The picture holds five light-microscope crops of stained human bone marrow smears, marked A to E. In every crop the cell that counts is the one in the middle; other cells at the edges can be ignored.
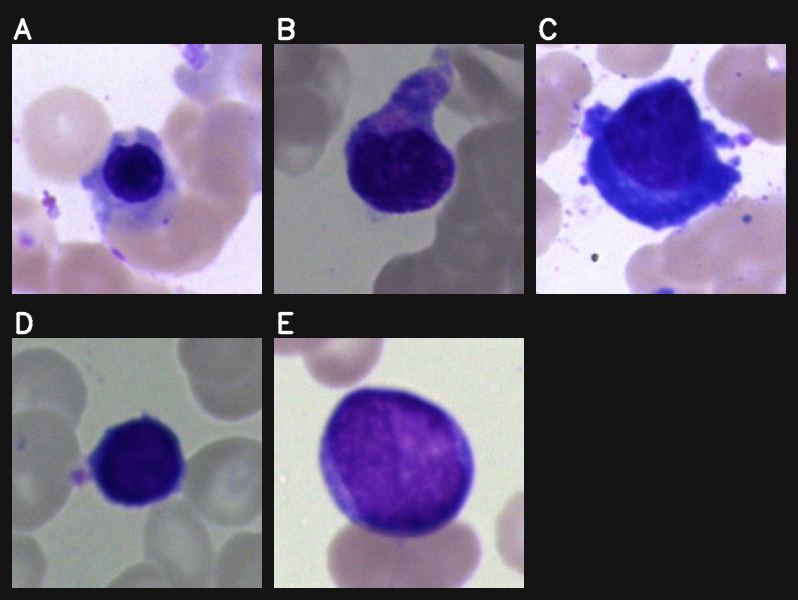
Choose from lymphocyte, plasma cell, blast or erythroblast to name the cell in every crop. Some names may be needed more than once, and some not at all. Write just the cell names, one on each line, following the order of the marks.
erythroblast
lymphocyte
plasma cell
lymphocyte
blast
